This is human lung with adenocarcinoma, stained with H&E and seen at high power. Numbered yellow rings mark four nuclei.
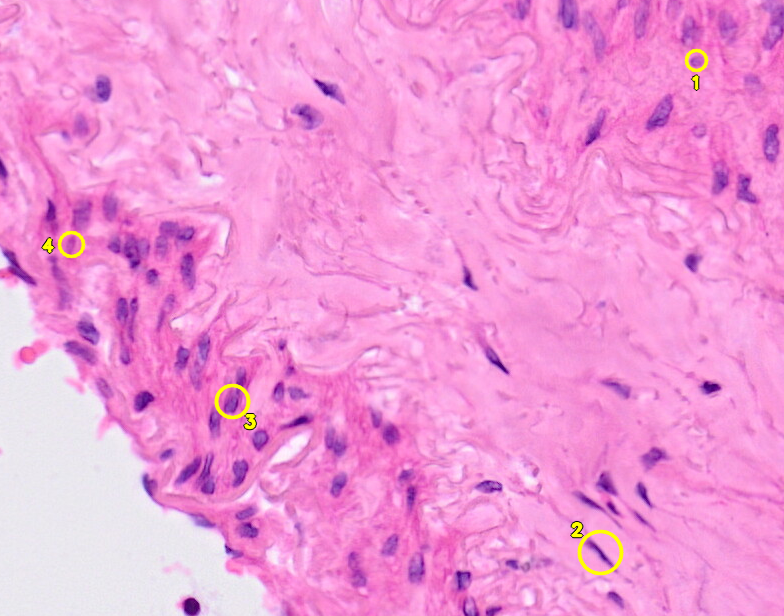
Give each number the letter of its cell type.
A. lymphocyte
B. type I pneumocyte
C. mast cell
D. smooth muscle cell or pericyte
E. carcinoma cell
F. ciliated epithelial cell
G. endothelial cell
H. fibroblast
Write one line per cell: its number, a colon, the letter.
1: D
2: H
3: D
4: D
